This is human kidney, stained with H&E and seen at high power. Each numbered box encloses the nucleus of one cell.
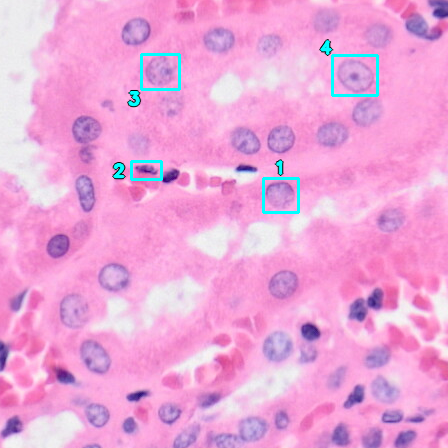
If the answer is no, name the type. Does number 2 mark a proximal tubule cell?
No, it is an endothelial cell.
